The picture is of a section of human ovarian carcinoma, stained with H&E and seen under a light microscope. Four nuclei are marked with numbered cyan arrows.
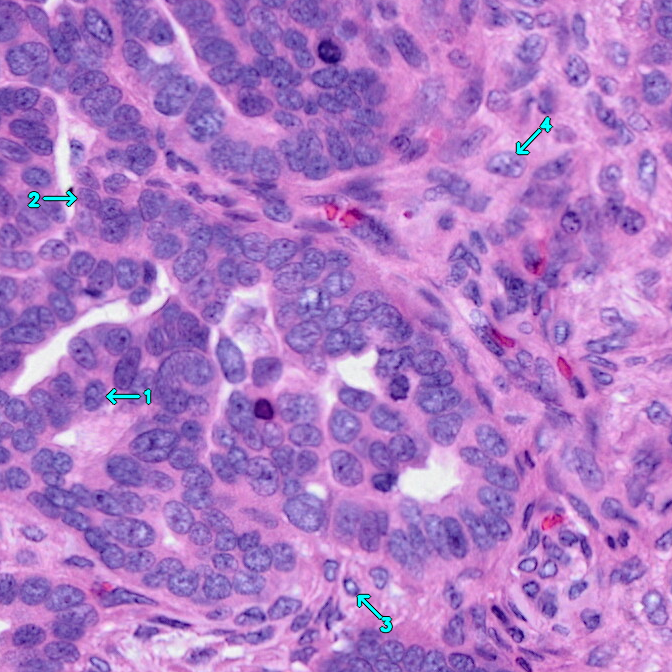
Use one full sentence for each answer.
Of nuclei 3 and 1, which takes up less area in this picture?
Nucleus 3 is the smaller one; nucleus 1 covers about 2.5 times its area.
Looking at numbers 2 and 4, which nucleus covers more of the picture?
It is nucleus 4, which covers about 3 times the area of nucleus 2.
